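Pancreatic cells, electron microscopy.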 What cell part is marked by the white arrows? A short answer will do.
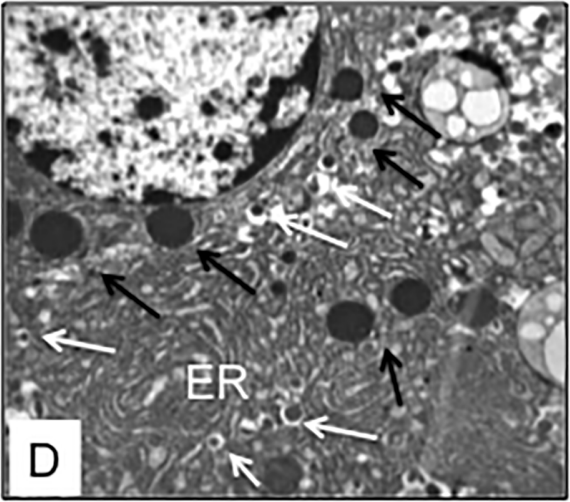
Insulin-like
